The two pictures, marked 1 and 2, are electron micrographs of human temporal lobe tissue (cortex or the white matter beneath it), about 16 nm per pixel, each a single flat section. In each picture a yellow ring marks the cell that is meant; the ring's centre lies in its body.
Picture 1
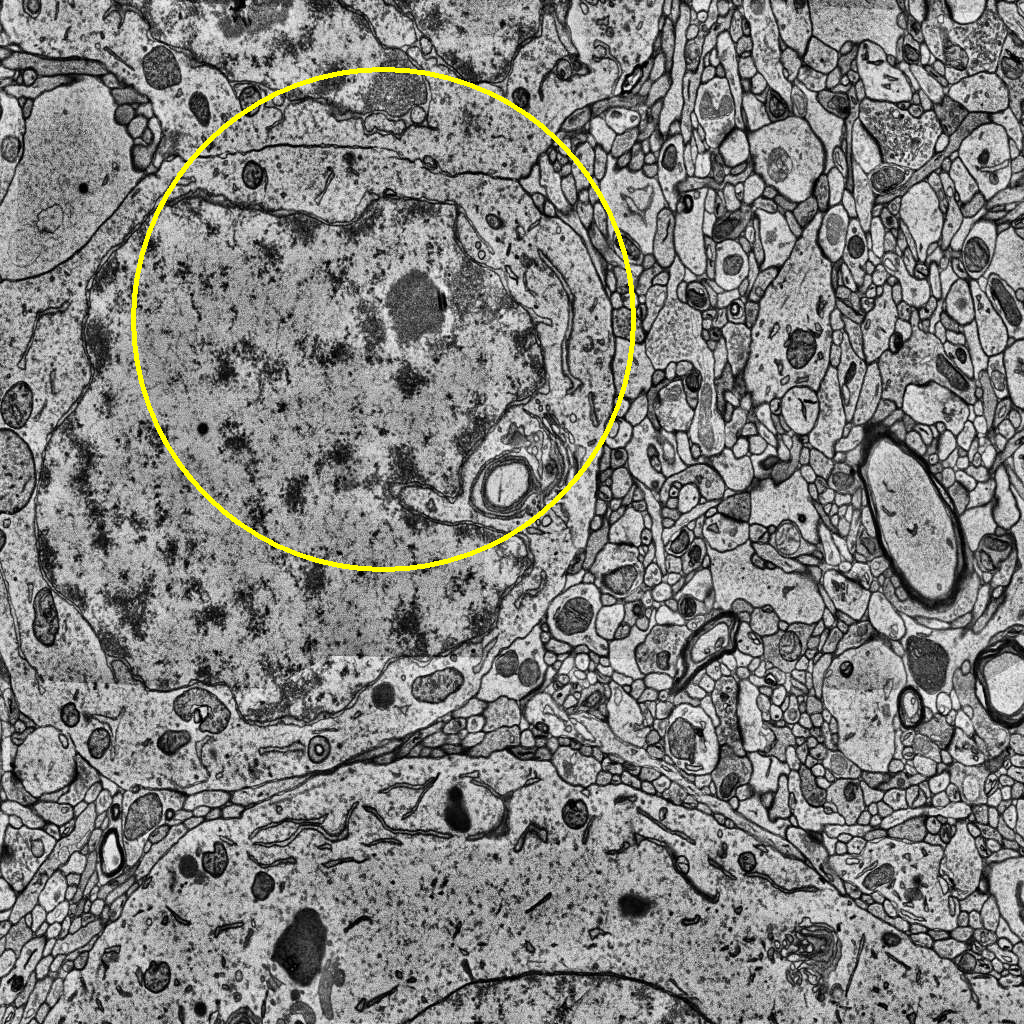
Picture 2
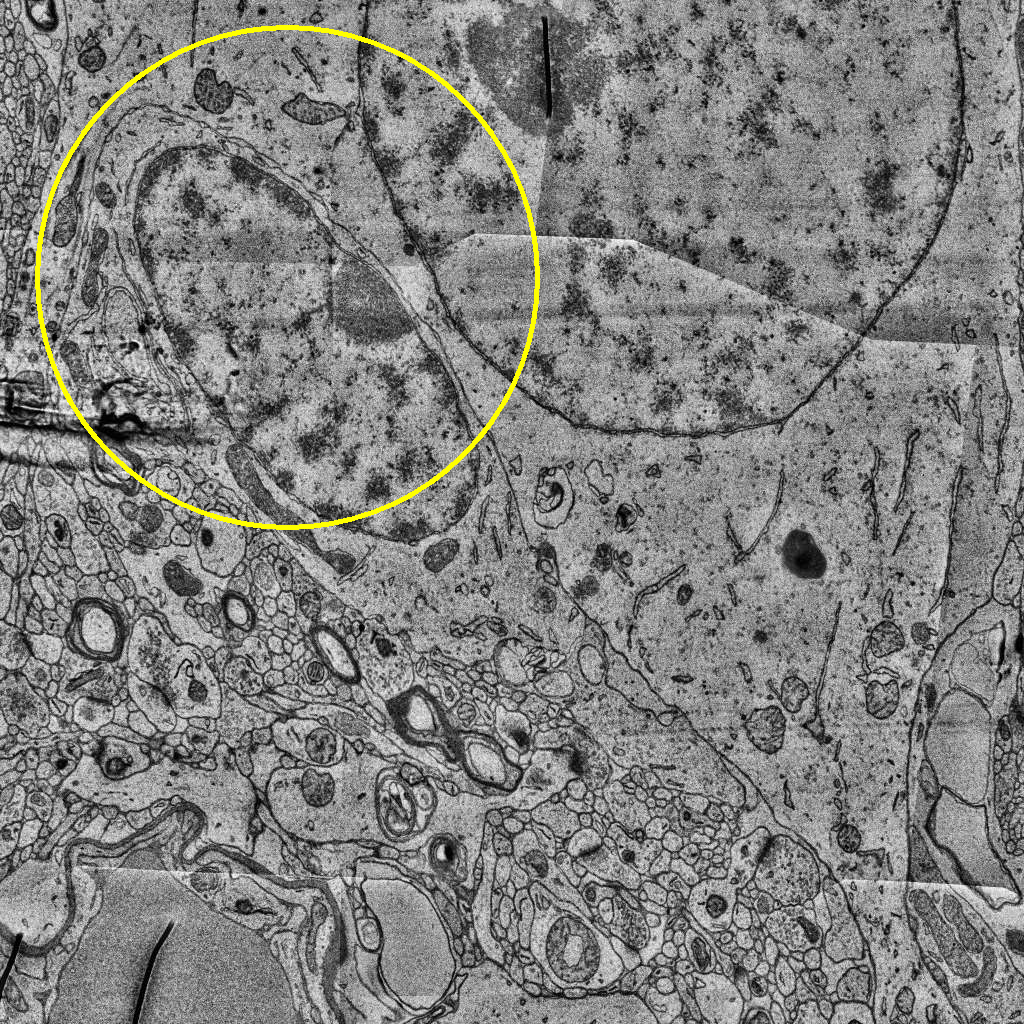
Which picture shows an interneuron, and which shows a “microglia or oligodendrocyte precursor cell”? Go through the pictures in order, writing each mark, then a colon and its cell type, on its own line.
1: interneuron
2: microglia or oligodendrocyte precursor cell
